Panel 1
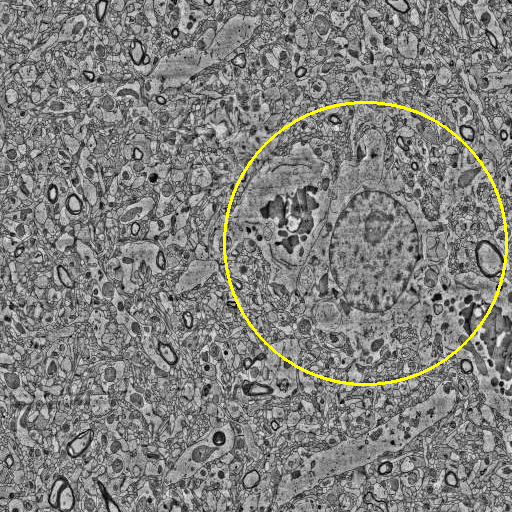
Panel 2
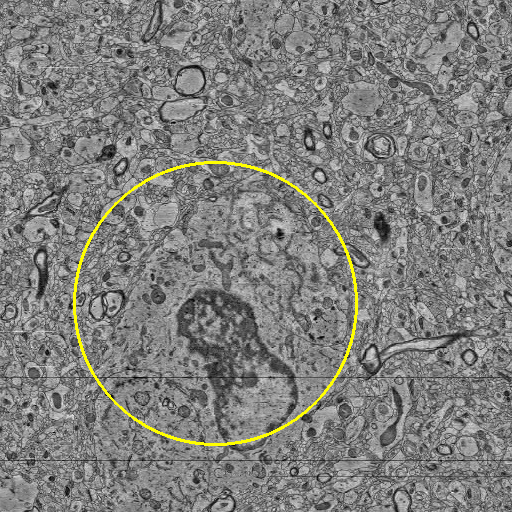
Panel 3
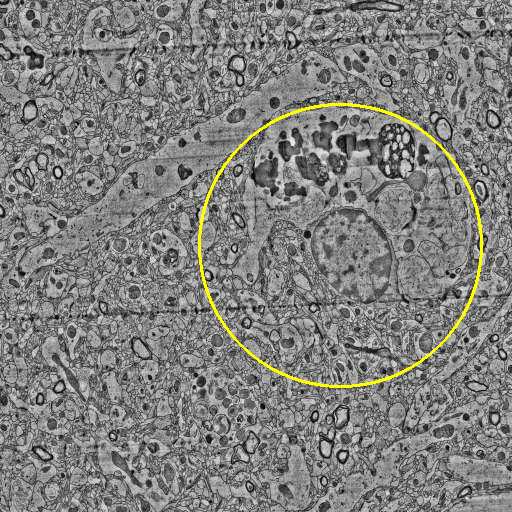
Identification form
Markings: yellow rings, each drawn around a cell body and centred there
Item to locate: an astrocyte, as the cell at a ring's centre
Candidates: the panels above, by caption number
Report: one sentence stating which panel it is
It is Panel 1.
